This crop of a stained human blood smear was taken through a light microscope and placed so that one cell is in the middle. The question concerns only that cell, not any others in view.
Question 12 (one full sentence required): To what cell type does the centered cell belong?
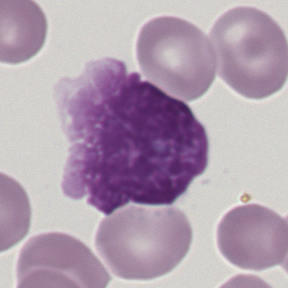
The centered cell in this crop is a smudge cell.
